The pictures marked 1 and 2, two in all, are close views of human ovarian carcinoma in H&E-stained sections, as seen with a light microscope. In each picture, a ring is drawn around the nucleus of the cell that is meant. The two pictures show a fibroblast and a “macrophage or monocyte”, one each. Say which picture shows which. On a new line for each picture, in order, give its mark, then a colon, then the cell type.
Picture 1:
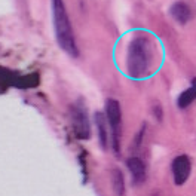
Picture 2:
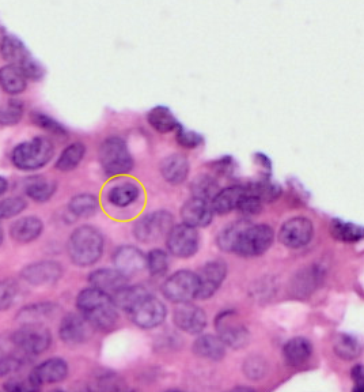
1: fibroblast
2: macrophage or monocyte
